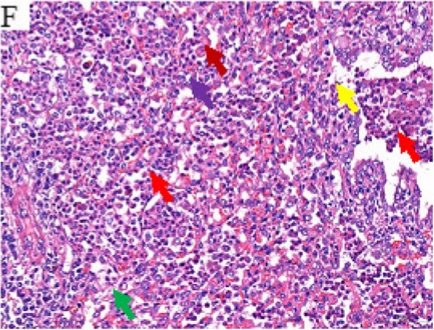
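This is lung at high power, where the alveolar spaces are largely filled with inflammatory cells, many with dark nuclei, mixed with red blood cells. Bits of airway epithelium can be seen at the right edge beside clefts of empty space.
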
